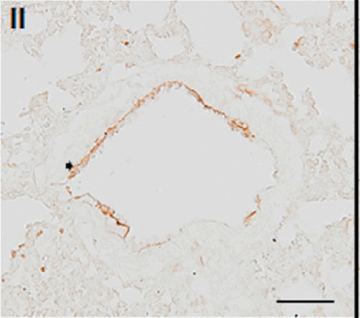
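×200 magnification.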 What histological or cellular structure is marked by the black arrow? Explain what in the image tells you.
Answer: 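The arrow points at the wall of a large empty lumen. A thin brown line runs along the inner lining of the wall. The lumen lies among thin-walled alveolar spaces.
Conclusion: pulmonary vessels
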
